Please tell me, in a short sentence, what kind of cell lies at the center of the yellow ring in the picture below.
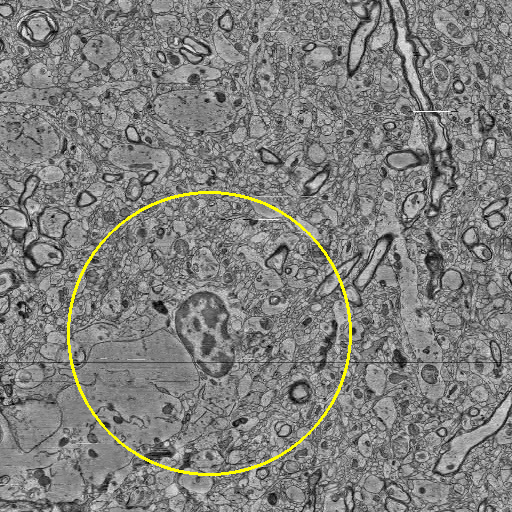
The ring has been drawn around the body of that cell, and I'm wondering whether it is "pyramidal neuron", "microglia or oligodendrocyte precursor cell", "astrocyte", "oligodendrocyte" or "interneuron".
The cell at the center of the ring is a microglial cell or oligodendrocyte precursor cell.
